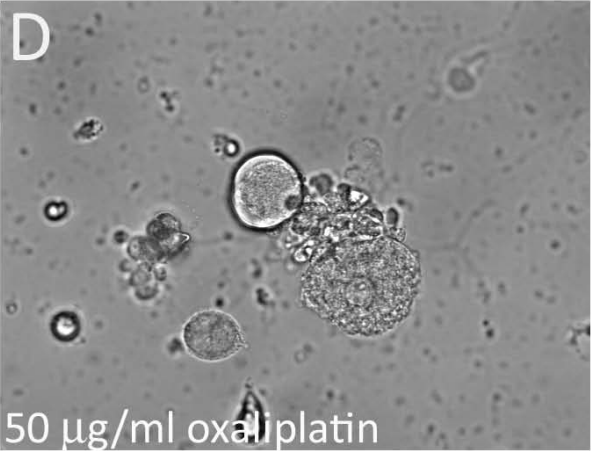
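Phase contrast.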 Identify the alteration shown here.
Accumulation of cell debris.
